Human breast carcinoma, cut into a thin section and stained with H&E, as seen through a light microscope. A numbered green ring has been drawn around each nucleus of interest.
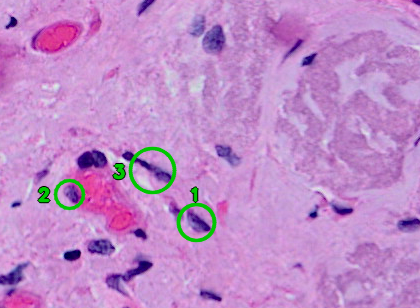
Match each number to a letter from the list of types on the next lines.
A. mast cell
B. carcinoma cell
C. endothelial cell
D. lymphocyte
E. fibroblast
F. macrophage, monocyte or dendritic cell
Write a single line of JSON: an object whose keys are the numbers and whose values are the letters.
{"1": "E", "2": "C", "3": "E"}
